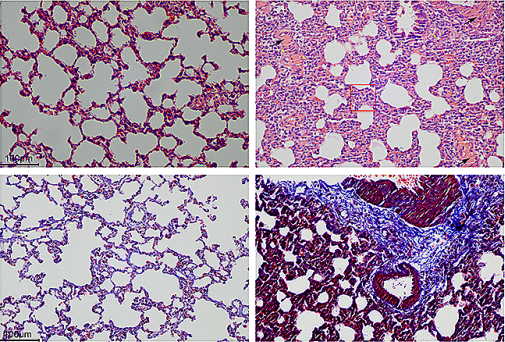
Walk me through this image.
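These are sections of lung with alveoli separated by septa. On the left, thin septa outline wide, open air spaces, while on the right the septa are thickened and densely packed with purple nuclei, leaving fewer, smaller air spaces. In the lower right image, blue-stained fibres surround a larger airway or vessel and extend into the thickened surrounding tissue.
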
